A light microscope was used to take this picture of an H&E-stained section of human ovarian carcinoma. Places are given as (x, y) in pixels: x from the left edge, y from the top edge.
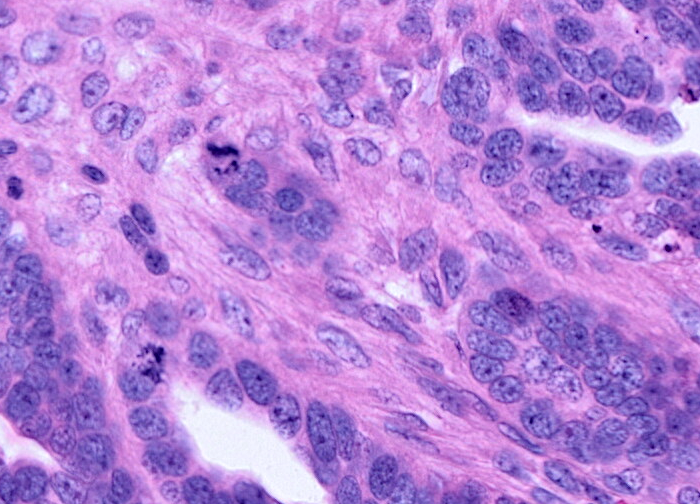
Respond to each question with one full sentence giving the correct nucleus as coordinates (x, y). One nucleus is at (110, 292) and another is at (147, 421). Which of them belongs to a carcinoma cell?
The nucleus that sits at (147, 421) is the nucleus of a carcinoma cell.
